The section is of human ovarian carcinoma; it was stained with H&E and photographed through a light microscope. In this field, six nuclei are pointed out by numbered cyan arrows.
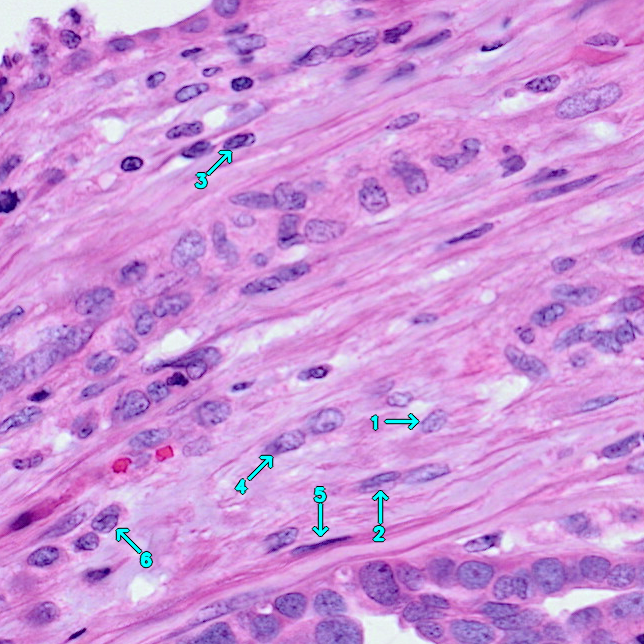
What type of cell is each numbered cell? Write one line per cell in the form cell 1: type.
cell 1: fibroblast
cell 2: fibroblast
cell 3: lymphocyte
cell 4: fibroblast
cell 5: fibroblast
cell 6: macrophage or monocyte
